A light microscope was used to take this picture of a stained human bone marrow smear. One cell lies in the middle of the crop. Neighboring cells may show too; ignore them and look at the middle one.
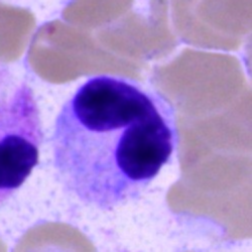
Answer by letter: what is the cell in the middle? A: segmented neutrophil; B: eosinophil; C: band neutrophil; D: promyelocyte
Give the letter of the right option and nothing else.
C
